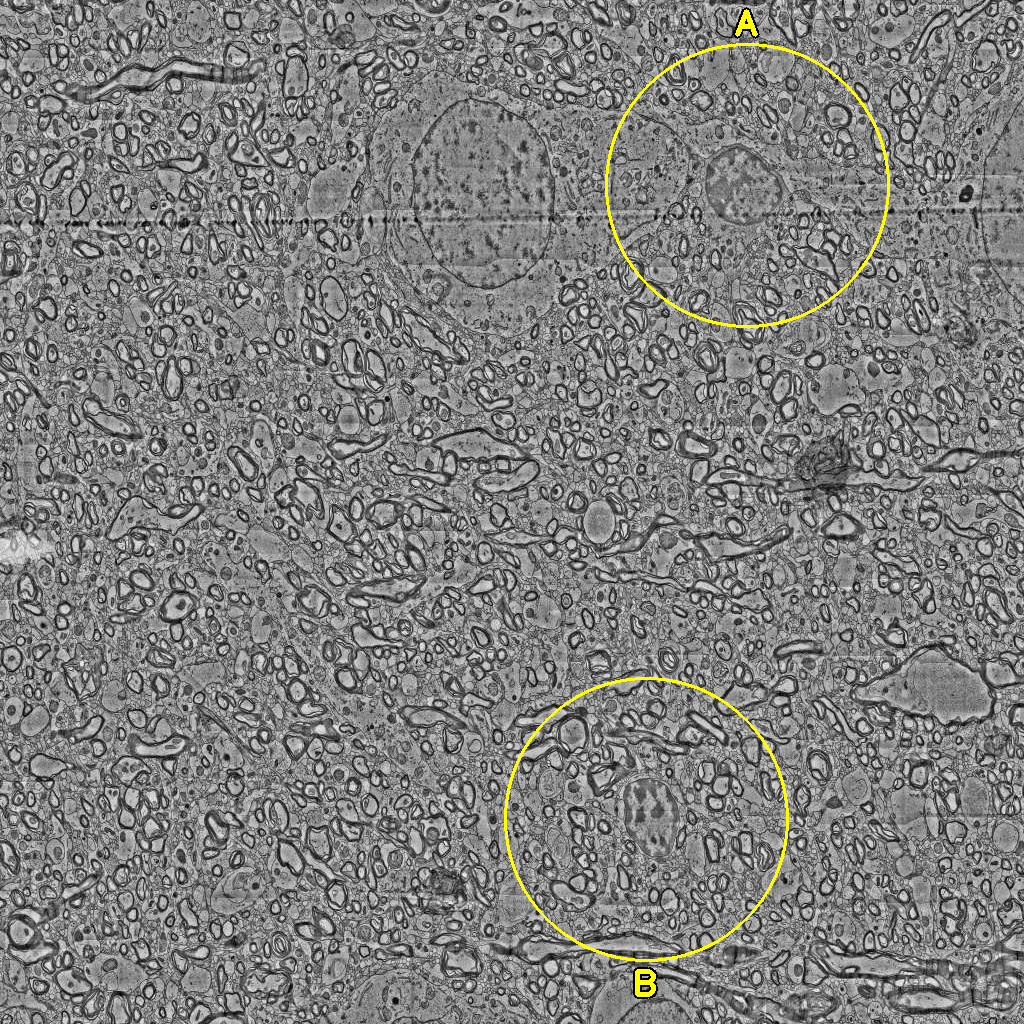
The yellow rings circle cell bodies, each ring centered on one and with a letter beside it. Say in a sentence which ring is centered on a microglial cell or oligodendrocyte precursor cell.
Ring B is centered on it.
